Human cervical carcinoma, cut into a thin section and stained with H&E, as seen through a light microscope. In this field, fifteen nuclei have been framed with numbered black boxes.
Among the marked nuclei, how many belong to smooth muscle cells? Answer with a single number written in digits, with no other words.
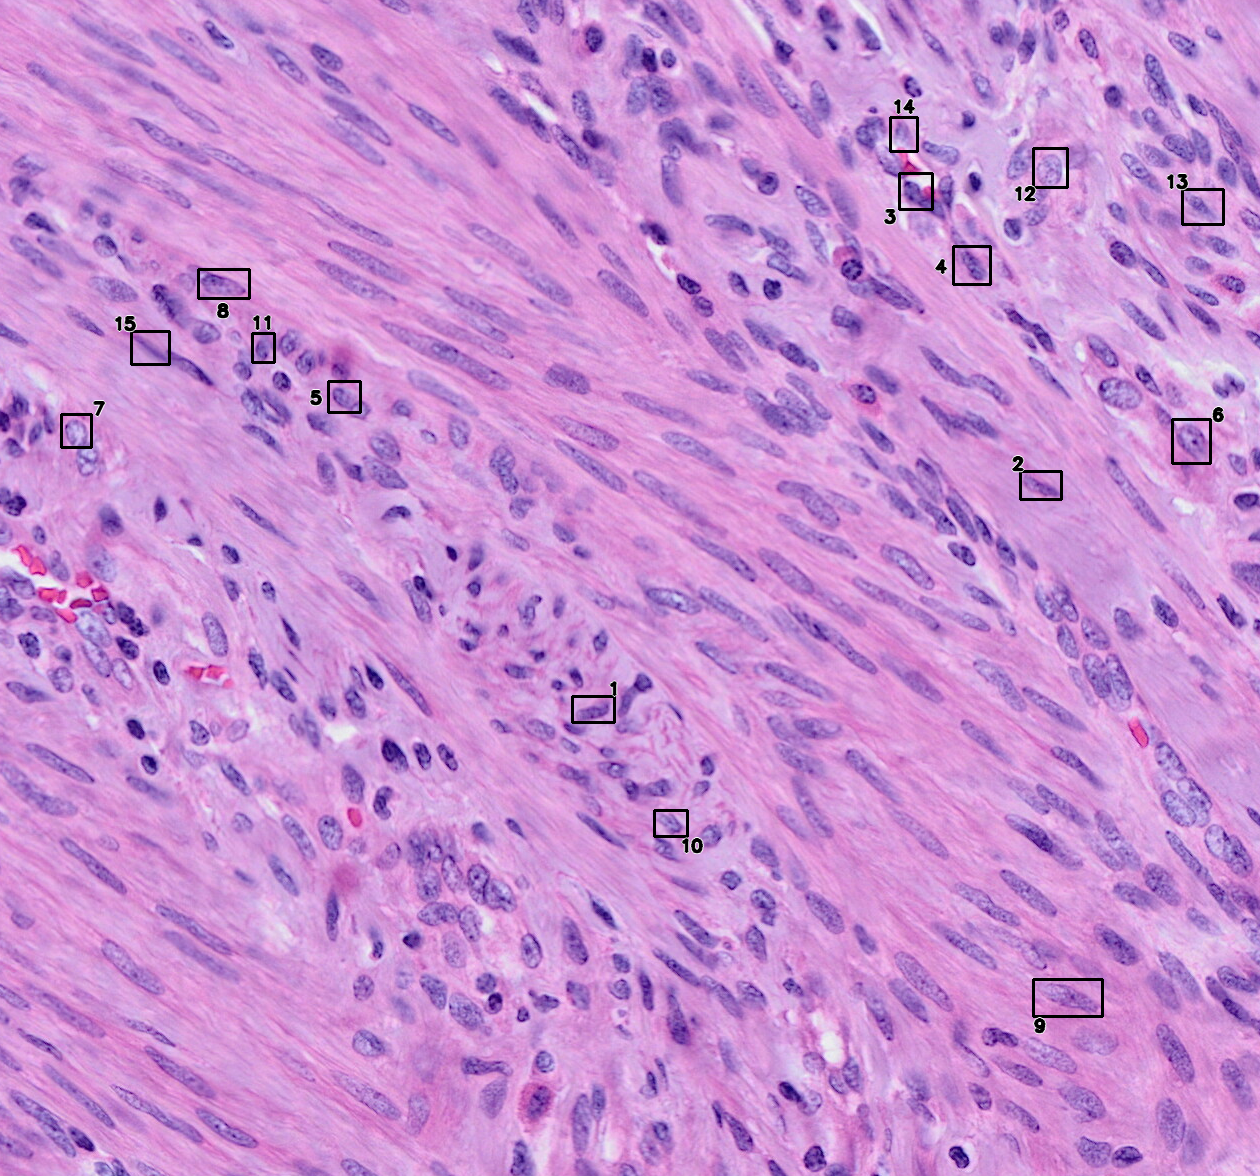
7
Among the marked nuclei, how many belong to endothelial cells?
6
